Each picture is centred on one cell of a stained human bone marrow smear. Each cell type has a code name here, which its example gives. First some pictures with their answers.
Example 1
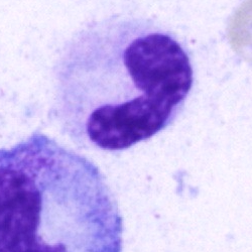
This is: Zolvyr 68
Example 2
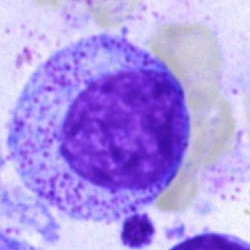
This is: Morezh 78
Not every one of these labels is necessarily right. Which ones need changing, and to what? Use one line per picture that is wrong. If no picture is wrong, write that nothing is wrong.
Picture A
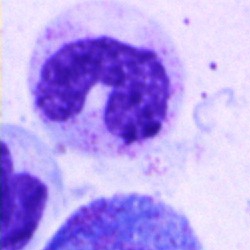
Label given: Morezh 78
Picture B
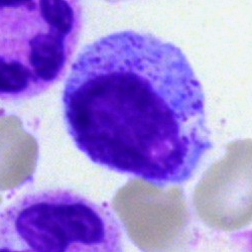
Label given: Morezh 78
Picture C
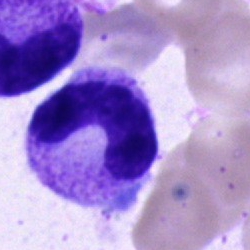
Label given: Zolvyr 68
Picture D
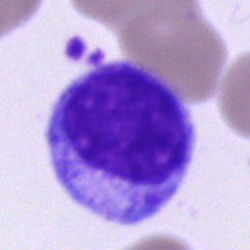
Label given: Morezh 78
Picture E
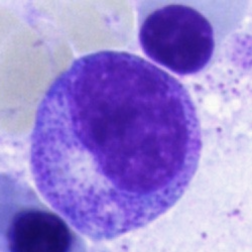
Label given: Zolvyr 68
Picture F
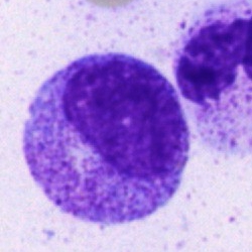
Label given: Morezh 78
A: change Morezh 78 to Zolvyr 68
E: change Zolvyr 68 to Morezh 78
